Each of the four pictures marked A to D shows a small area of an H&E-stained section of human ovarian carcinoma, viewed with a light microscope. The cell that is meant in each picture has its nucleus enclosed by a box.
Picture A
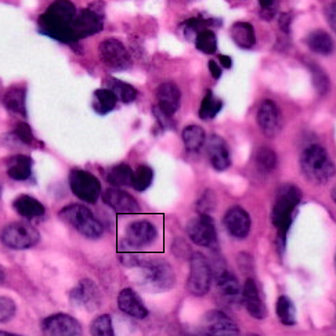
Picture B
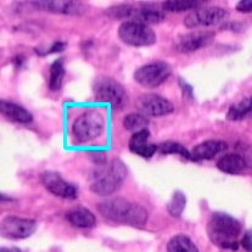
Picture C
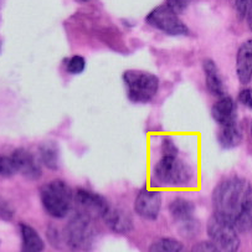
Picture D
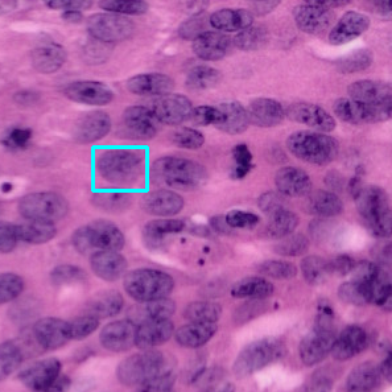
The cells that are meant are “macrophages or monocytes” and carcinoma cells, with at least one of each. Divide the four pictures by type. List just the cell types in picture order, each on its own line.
macrophage or monocyte
macrophage or monocyte
macrophage or monocyte
carcinoma cell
